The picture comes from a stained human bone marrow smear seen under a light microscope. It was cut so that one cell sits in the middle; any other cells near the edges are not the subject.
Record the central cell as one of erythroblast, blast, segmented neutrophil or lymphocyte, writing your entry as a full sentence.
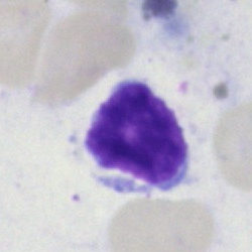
The crop shows a lymphocyte in its centre.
